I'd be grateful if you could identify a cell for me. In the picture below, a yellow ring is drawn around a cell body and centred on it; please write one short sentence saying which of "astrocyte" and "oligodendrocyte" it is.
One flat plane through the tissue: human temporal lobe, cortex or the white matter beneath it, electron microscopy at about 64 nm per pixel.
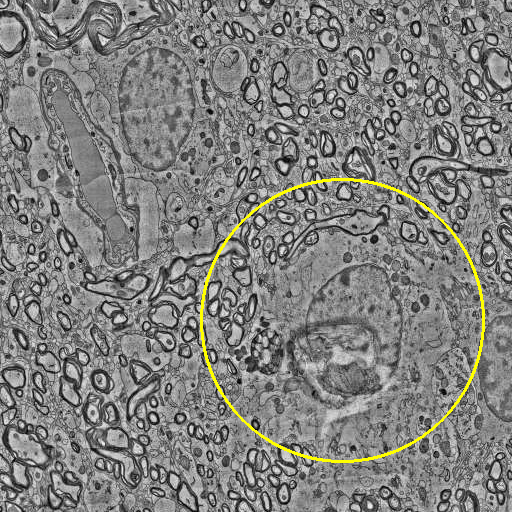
The cell under the ring's centre is an astrocyte.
